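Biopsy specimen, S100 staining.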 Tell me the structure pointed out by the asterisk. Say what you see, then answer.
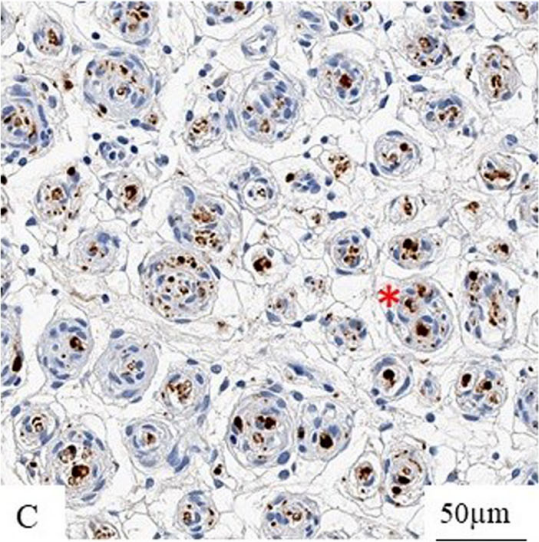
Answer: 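Round units made of concentric layers of thin flattened cells. Brown-stained cells lie at the centre of each layered unit. The units are separated by pale loose stroma.
Hence: pseudo-onion bulbs.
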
